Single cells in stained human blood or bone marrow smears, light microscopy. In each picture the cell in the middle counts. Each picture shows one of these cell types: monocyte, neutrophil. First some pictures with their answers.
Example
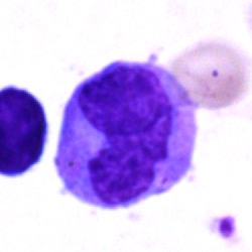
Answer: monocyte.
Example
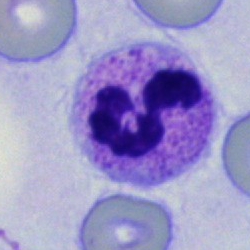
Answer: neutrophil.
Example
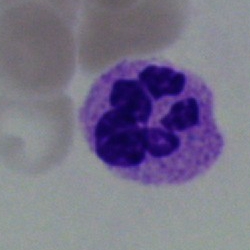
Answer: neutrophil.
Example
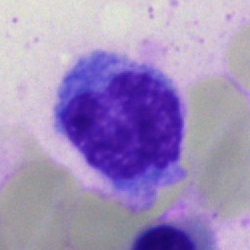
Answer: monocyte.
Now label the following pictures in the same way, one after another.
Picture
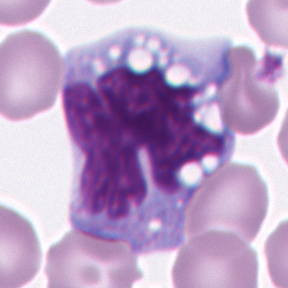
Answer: monocyte.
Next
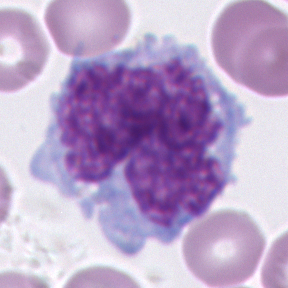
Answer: monocyte.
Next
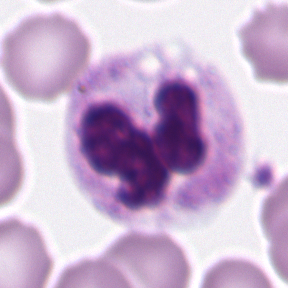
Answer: neutrophil.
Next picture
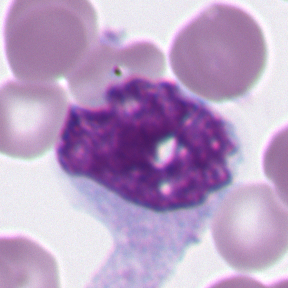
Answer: monocyte.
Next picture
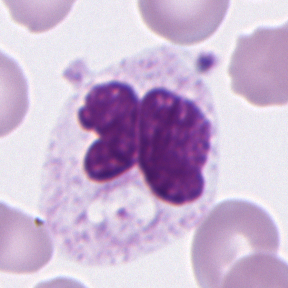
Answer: neutrophil.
